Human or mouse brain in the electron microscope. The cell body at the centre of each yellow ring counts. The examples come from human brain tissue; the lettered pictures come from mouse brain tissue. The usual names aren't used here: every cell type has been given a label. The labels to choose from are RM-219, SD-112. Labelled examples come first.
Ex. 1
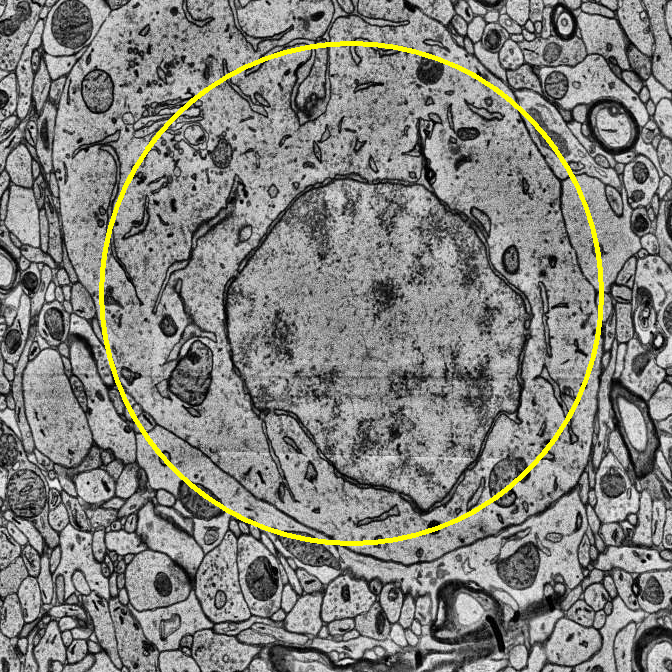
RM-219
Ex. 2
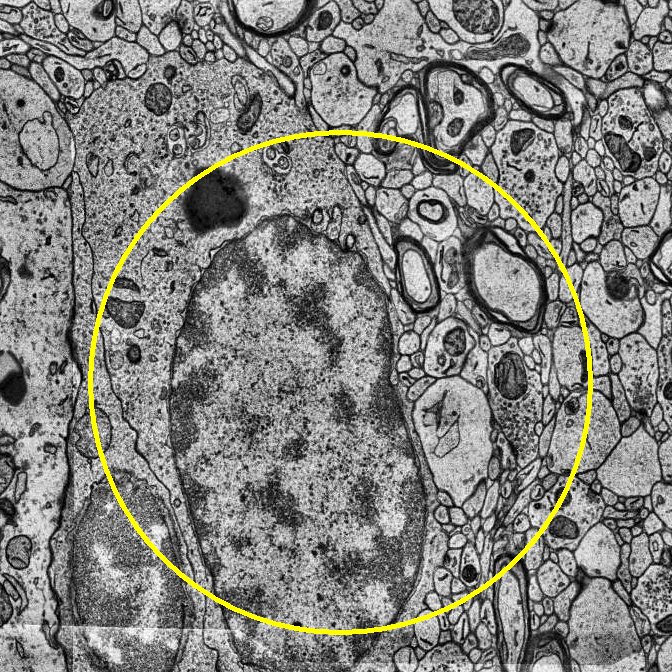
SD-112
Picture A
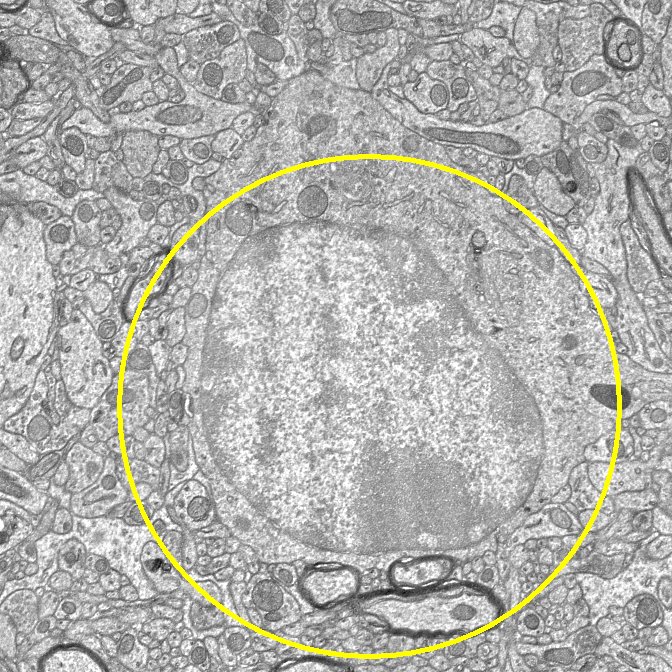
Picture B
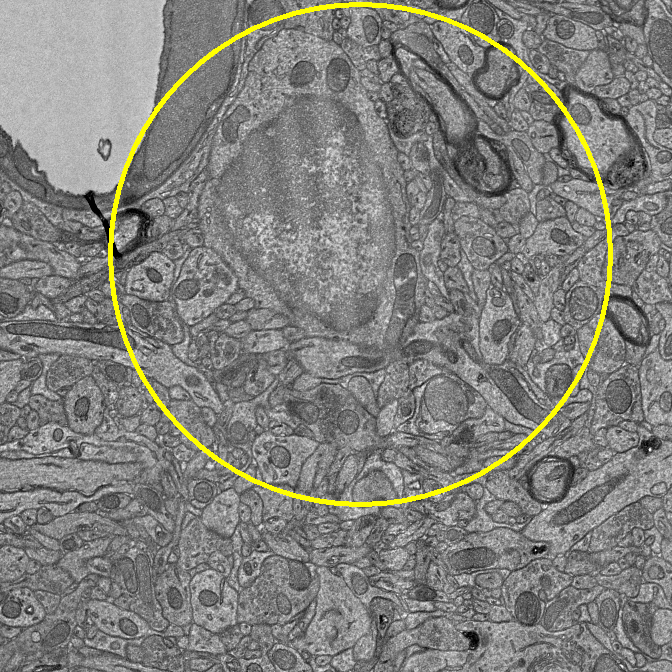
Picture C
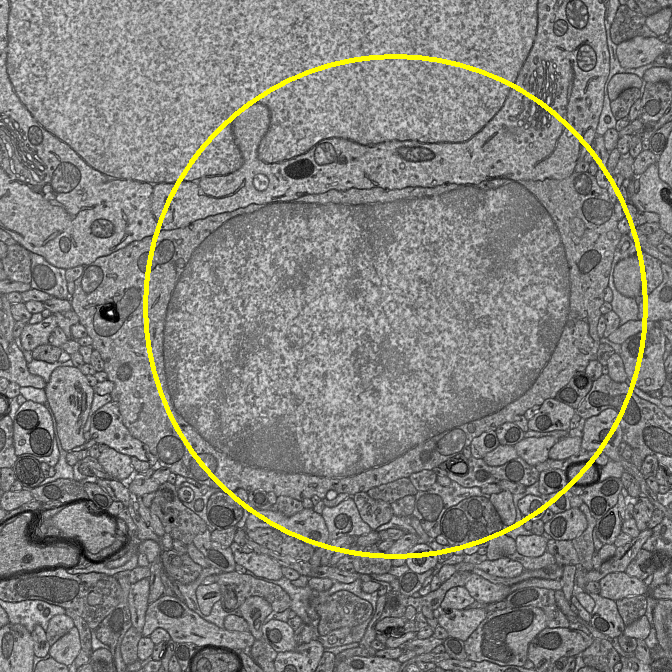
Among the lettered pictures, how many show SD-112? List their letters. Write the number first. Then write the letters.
3, namely A, B, C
